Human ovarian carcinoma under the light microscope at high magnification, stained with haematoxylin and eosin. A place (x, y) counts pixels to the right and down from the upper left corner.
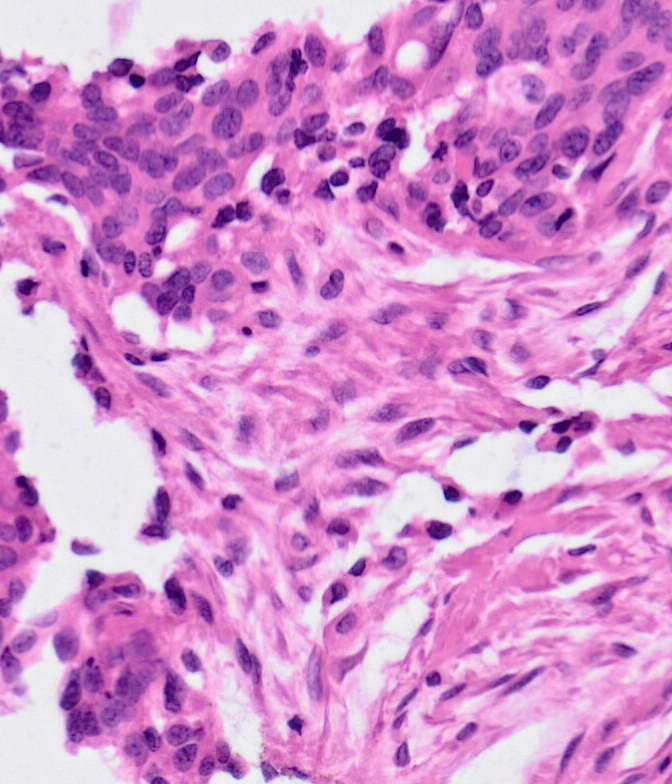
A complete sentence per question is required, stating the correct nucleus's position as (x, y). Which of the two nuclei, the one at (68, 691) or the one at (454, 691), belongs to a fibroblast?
That would be the nucleus at (454, 691); it belongs to a fibroblast.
